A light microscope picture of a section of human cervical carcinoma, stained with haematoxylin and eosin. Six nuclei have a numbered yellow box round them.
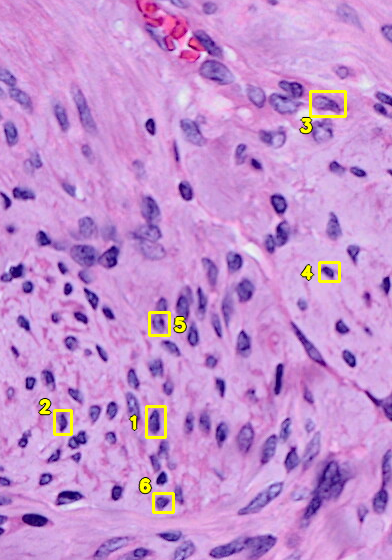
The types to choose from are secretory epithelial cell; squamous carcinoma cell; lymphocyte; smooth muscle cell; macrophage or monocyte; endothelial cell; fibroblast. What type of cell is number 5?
smooth muscle cell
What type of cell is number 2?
smooth muscle cell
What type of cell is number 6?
smooth muscle cell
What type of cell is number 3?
endothelial cell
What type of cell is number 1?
smooth muscle cell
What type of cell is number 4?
fibroblast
